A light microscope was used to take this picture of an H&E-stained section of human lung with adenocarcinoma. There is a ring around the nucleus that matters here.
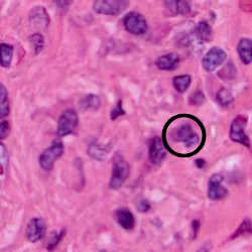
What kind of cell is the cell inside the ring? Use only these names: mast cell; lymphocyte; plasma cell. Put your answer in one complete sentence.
As a matter of cell type, the cell inside the ring is a plasma cell.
